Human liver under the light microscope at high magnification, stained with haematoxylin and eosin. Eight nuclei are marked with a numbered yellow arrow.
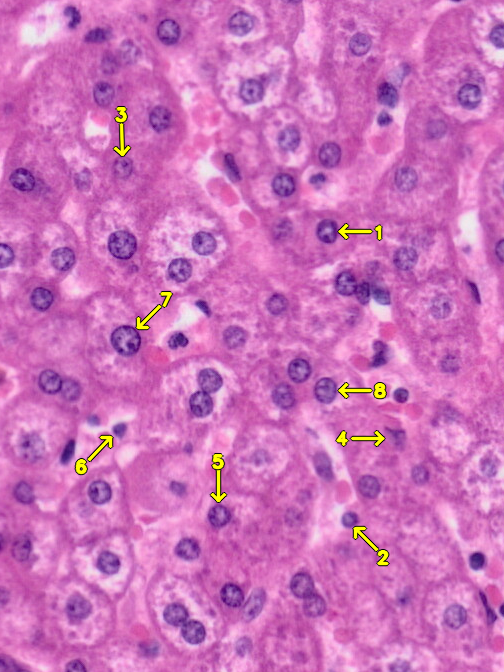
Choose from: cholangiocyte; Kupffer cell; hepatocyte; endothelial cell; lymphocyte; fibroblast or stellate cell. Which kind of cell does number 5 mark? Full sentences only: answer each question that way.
The correct label for cell 5 is a hepatocyte.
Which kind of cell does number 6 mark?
The cell indicated with the number 6 is classed as a lymphocyte.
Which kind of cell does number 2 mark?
Numbered cell 2 is a lymphocyte in this tissue section.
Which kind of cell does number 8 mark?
Identified as a hepatocyte is the cell bearing the number 8.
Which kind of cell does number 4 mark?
Looking at the numbered marks, cell 4 is an endothelial cell.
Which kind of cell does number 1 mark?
The identity of cell 1 is that of a hepatocyte.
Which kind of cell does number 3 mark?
The label 3 in this section denotes a hepatocyte.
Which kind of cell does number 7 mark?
The numbered cell 7 is identified here as a hepatocyte.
